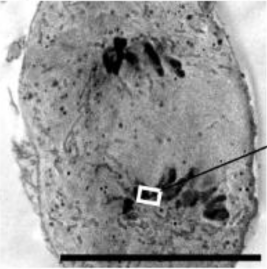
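Single dividing cell in late anaphase seen by electron microscopy at low magnification. Two clusters of dark, densely stained chromosomes lie near opposite ends of the cell. The cell outline is oval and not yet constricted between the chromosome groups. The cytoplasm is pale grey, scattered with small dark granules and fine membrane profiles. The middle region between the chromosome sets is paler and free of chromatin.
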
